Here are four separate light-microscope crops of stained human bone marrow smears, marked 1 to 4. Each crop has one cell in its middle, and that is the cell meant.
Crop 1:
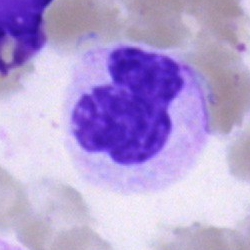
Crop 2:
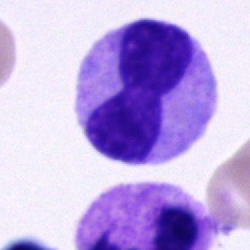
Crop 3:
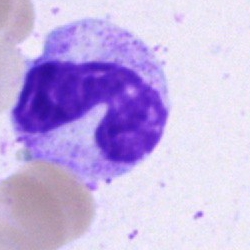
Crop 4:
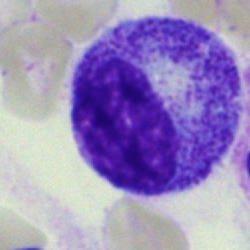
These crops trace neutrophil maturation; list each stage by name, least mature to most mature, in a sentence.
The arrangement from least to most mature is crop 4 (a promyelocyte), crop 2 (a metamyelocyte), crop 3 (a band neutrophil) and crop 1 (a segmented neutrophil).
